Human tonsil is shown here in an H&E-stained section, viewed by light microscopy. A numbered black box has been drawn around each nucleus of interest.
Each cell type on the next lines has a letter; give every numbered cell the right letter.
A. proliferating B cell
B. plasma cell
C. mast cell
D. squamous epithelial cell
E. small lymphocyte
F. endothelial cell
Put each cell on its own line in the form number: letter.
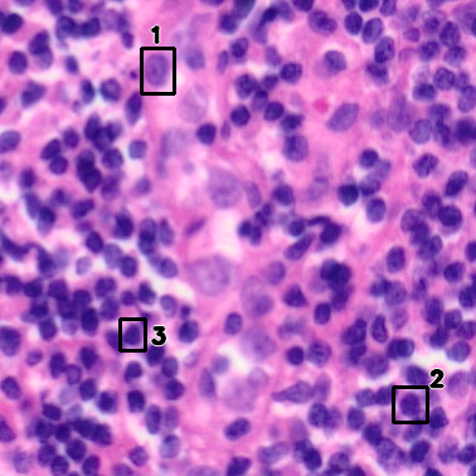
1: F
2: E
3: E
